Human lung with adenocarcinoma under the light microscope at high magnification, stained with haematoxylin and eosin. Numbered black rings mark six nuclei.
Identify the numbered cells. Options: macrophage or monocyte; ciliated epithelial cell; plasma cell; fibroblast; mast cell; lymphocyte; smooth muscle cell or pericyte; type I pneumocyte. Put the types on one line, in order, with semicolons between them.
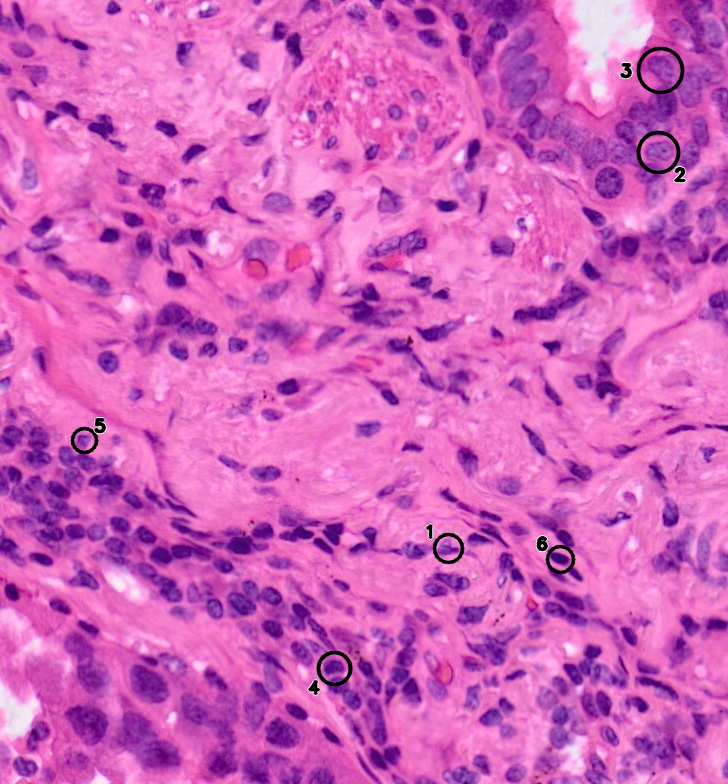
lymphocyte; ciliated epithelial cell; ciliated epithelial cell; lymphocyte; lymphocyte; lymphocyte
